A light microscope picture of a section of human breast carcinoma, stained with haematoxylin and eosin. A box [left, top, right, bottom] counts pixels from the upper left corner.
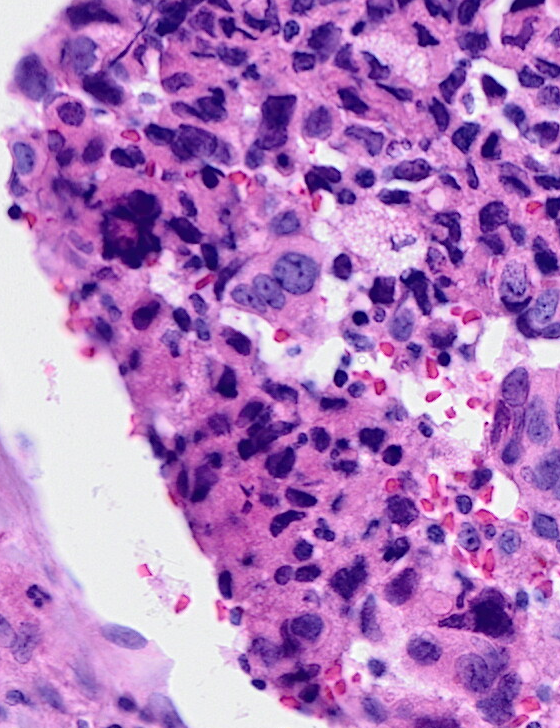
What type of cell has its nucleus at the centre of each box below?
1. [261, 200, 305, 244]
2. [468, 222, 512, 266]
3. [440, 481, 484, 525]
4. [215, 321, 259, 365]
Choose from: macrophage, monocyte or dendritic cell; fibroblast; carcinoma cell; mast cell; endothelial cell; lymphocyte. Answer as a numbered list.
1. carcinoma cell
2. carcinoma cell
3. lymphocyte
4. carcinoma cell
